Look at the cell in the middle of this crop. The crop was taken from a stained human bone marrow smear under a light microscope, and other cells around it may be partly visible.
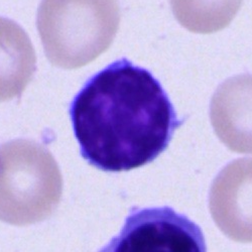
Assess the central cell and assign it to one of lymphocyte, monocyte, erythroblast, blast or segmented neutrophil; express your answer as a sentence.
The middle position in this crop is taken by a lymphocyte.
